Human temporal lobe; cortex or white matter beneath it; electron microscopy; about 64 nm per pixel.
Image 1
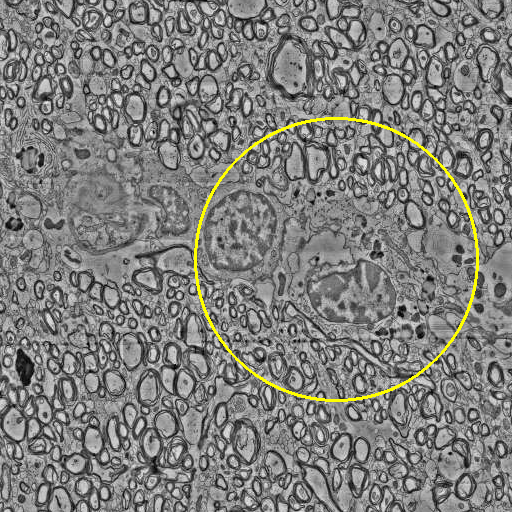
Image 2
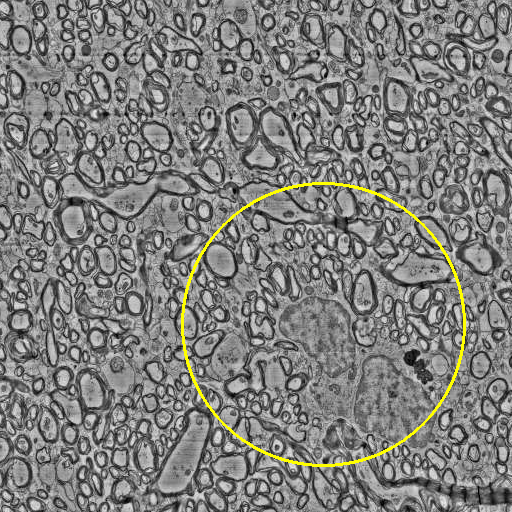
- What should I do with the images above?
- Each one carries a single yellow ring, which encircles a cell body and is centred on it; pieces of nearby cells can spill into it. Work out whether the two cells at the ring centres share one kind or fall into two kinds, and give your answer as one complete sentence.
The ring-centre cells of Image 1 and Image 2 fall into two kinds.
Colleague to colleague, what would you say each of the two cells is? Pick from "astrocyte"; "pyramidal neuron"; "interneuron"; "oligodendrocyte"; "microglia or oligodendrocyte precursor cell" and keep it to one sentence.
The cell in the first picture is a microglial cell or oligodendrocyte precursor cell; the second picture's cell is an oligodendrocyte.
